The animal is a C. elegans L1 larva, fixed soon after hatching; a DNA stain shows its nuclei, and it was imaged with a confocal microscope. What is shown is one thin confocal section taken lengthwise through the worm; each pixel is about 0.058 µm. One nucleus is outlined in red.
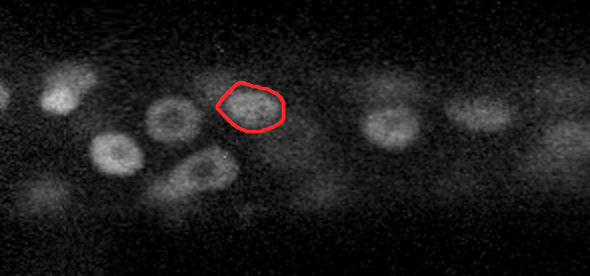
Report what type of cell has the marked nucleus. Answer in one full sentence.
The marked cell is a Q neuroblast.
